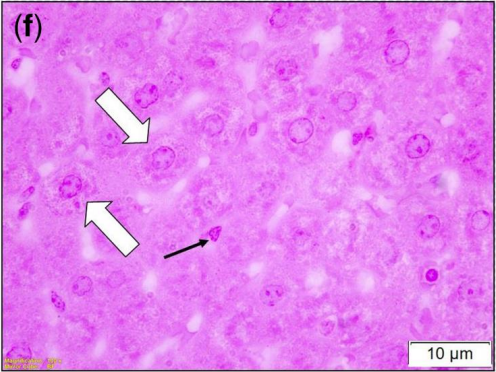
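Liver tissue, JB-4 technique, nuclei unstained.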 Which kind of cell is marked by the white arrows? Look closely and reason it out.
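Hepatocytes. Large cells with round, pale nuclei with nucleoli. Cells form sheets separated by pale spaces.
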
